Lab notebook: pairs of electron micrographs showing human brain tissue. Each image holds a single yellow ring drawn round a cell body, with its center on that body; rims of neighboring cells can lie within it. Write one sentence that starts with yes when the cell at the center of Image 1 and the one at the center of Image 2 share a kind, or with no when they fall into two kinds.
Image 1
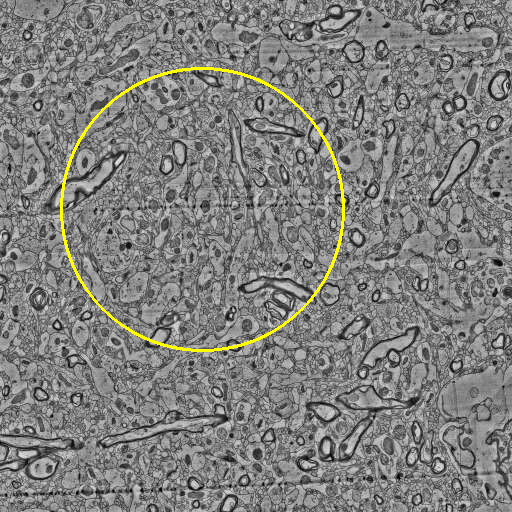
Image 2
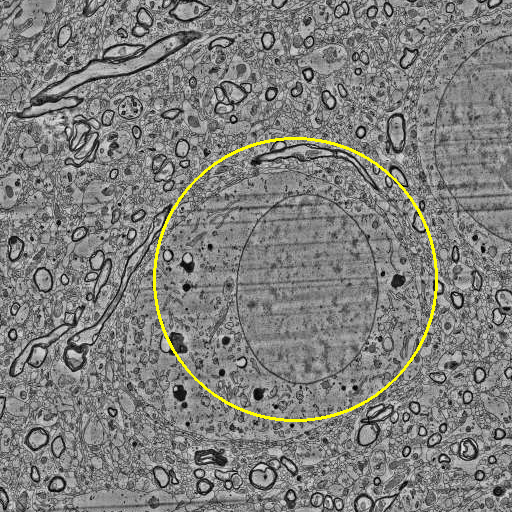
No, the centered cell in Image 1 and the centered cell in Image 2 are of two kinds.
